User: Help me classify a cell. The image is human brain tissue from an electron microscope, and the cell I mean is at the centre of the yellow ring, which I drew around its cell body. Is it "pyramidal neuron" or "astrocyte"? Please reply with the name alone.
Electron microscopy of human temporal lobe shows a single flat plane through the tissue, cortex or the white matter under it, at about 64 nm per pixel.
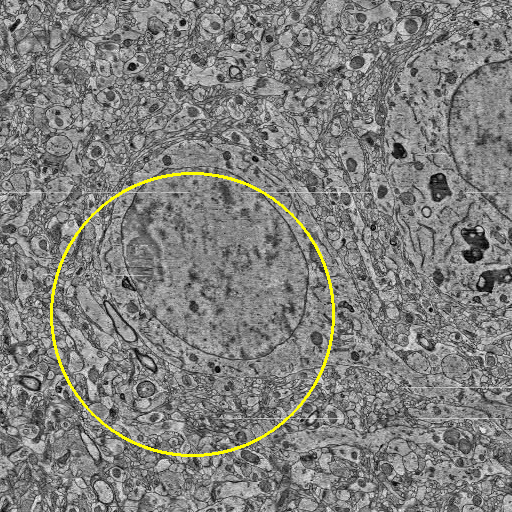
pyramidal neuron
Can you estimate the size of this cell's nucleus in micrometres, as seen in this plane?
About 14 micrometres by about 11 micrometres in this plane.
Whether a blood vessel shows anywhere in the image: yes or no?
No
